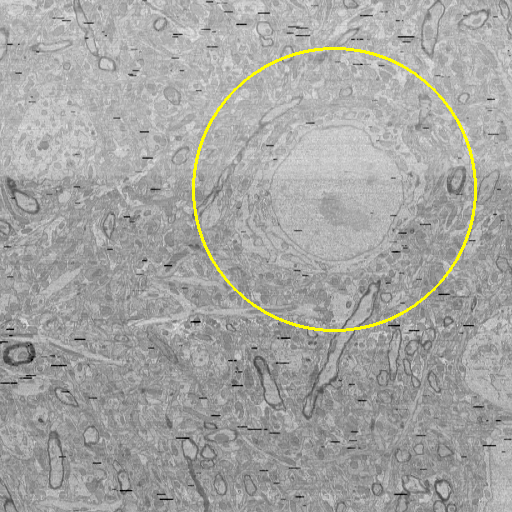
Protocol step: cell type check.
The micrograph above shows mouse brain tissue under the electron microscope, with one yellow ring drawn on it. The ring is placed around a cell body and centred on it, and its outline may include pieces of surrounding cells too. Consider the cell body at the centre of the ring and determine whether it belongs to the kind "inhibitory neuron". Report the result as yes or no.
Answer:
yes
